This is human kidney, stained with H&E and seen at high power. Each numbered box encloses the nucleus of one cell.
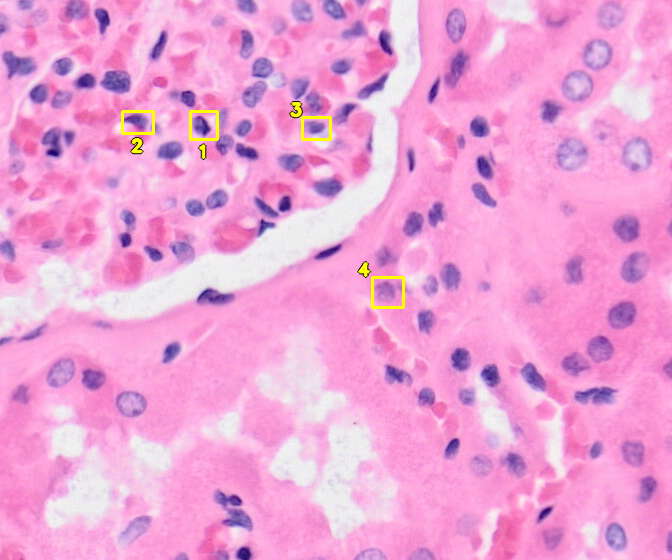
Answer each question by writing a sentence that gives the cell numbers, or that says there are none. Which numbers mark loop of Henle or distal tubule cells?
No marked cell except number 4 is a loop of Henle or distal tubule cell.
